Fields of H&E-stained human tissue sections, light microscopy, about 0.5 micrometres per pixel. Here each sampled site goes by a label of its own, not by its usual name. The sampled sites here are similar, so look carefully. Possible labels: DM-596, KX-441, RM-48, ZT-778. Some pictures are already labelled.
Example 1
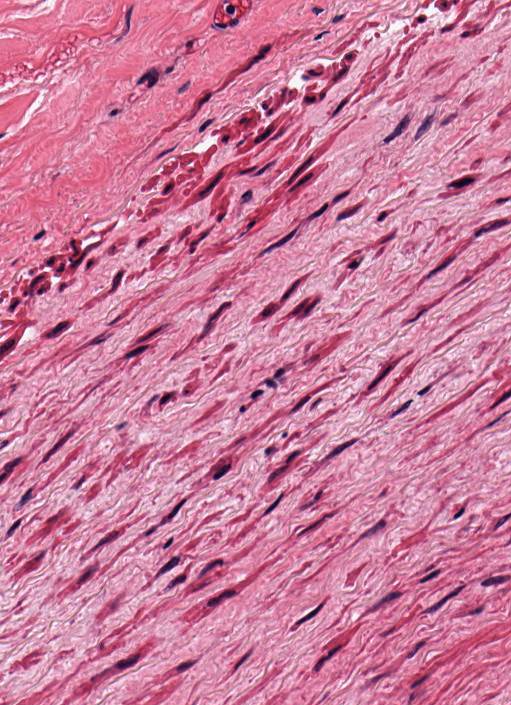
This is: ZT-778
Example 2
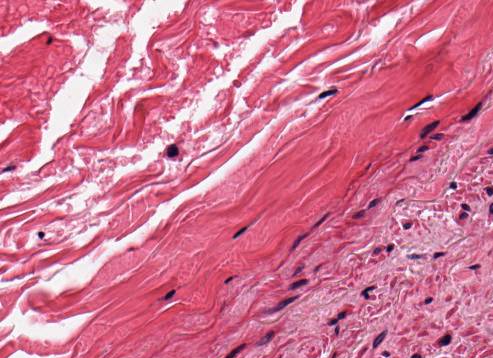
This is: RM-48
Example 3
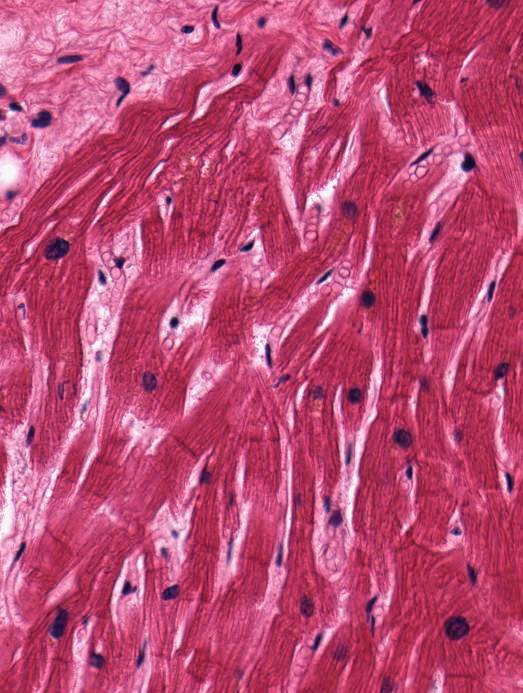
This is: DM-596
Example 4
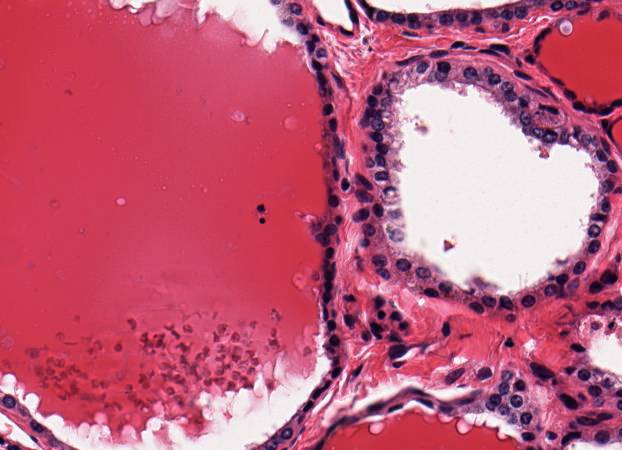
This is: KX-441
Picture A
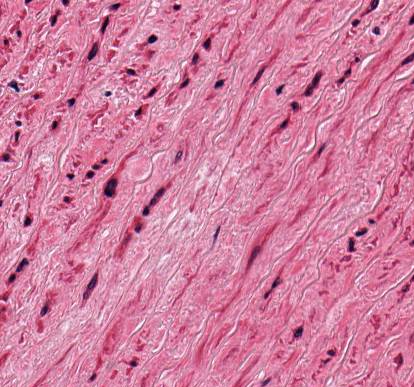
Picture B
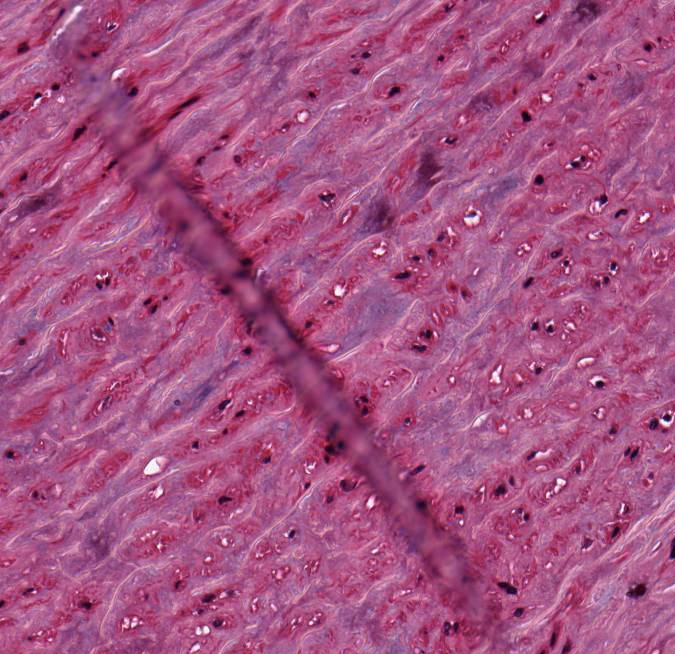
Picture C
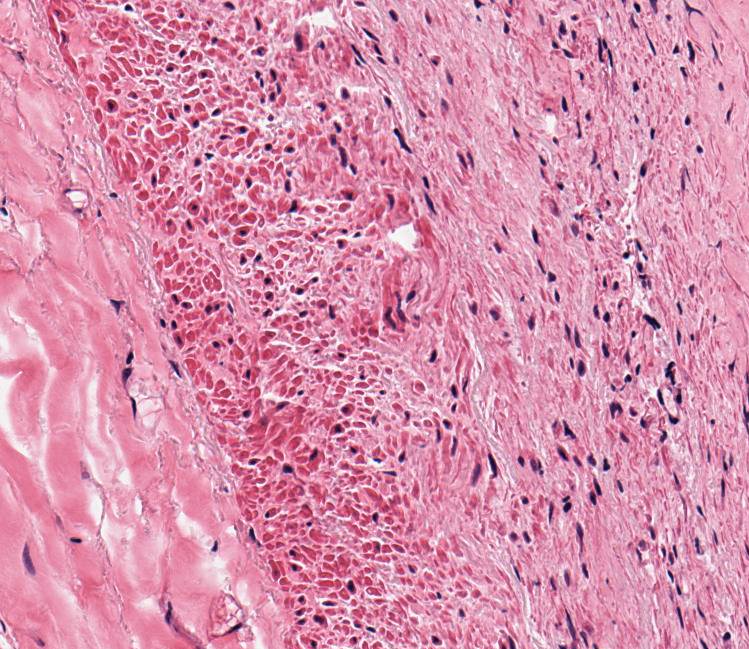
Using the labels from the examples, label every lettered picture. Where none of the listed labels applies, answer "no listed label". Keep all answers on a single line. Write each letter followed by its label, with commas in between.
A RM-48, B RM-48, C ZT-778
